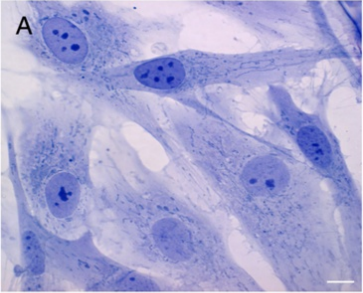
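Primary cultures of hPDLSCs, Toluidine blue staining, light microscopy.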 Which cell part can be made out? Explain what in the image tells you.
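Cells are elongated with thin extensions of cytoplasm reaching toward neighbouring cells. That points to this answer: long cytoplasmatic processes.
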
